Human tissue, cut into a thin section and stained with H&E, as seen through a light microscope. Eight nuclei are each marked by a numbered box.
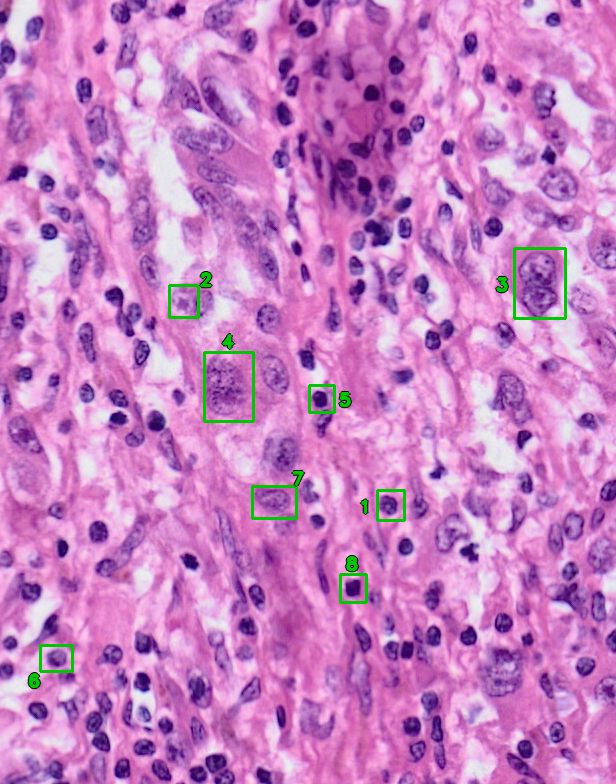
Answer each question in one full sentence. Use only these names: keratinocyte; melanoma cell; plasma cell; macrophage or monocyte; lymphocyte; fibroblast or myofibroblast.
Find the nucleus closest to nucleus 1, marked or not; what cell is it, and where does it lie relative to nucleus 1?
The closest nucleus belongs to a macrophage or monocyte and sits to the right of nucleus 1.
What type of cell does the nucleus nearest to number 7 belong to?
Number 7 lies closest to the nucleus of a melanoma cell.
